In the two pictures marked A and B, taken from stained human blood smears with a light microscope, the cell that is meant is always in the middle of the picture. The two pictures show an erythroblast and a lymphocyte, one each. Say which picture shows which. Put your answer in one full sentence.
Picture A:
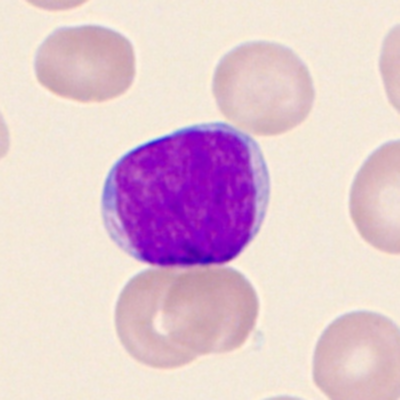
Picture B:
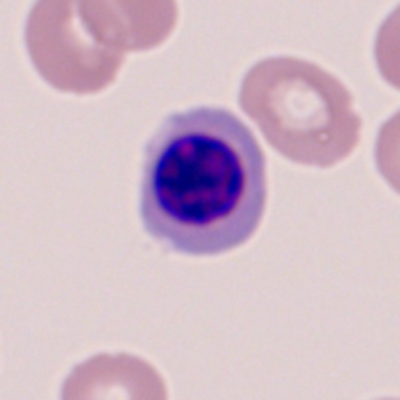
The cell in picture A is a lymphocyte, and the one in picture B is an erythroblast.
